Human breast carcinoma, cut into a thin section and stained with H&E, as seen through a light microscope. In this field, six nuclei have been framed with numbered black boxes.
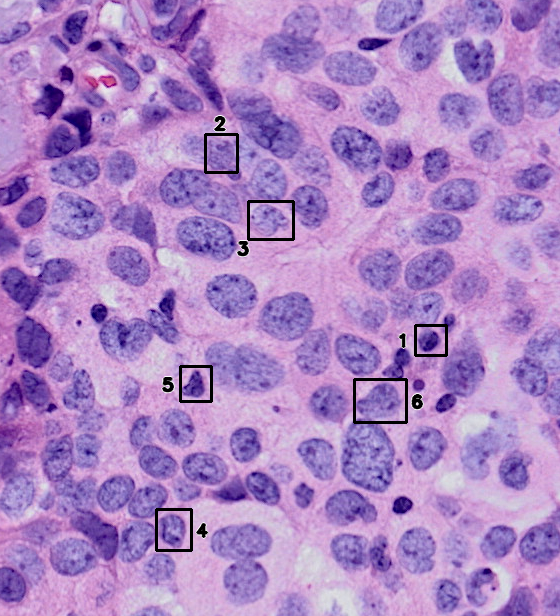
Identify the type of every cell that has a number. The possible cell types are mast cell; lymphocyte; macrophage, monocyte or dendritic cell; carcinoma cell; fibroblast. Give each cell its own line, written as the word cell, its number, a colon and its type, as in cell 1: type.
cell 1: lymphocyte
cell 2: carcinoma cell
cell 3: carcinoma cell
cell 4: carcinoma cell
cell 5: lymphocyte
cell 6: carcinoma cell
